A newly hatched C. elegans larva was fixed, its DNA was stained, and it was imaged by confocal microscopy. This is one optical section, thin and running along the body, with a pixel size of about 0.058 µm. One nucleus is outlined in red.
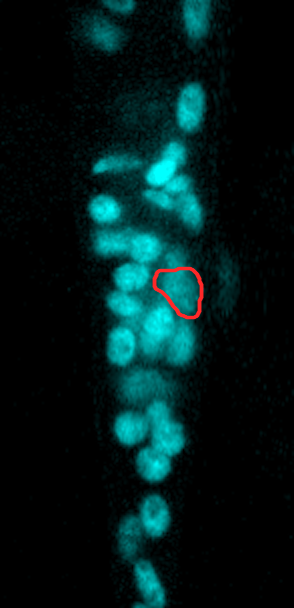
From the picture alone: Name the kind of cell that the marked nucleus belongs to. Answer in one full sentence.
This is the nucleus of a rectal epithelial cell.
